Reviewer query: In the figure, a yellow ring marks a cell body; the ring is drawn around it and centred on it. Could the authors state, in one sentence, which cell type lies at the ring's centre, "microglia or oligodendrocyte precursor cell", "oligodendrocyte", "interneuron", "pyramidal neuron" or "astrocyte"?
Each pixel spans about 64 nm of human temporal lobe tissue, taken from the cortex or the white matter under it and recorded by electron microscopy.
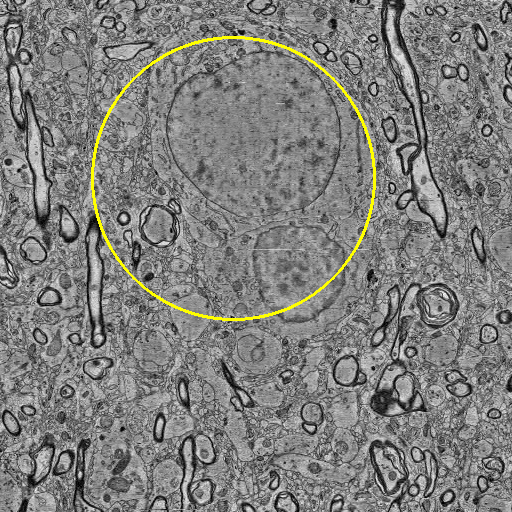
The ring is centred on an interneuron.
